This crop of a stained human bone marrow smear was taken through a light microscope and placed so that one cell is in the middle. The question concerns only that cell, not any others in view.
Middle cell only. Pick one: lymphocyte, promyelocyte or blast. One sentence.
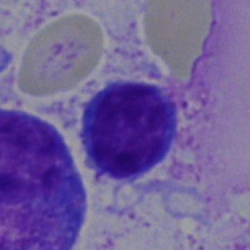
Of the cells in this crop, the central one is a lymphocyte.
